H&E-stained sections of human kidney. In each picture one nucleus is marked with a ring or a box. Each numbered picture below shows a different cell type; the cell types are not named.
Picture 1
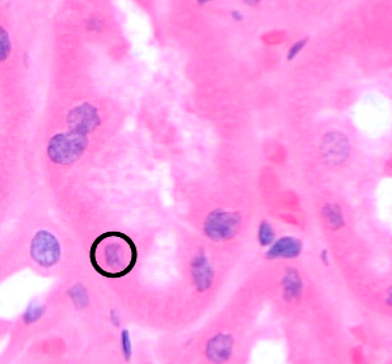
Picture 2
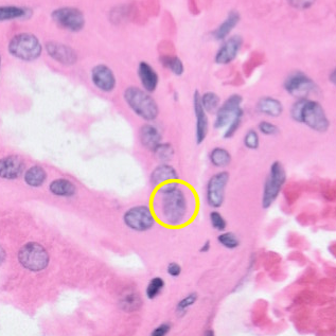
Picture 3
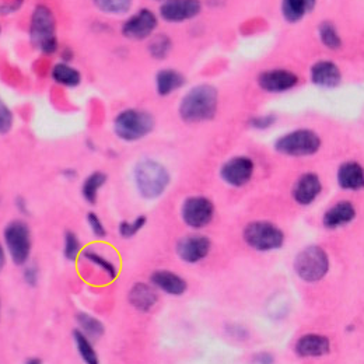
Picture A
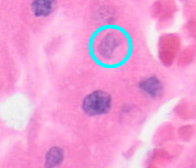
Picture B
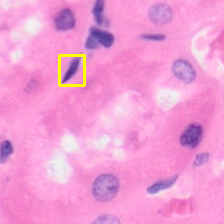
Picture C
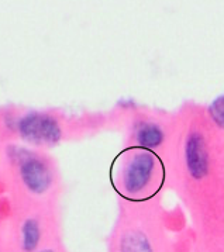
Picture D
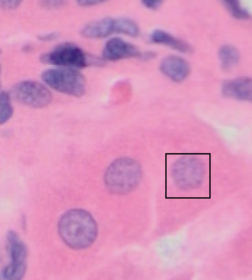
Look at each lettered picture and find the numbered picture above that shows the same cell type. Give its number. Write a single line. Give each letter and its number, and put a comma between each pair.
A 1, B 3, C 2, D 1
